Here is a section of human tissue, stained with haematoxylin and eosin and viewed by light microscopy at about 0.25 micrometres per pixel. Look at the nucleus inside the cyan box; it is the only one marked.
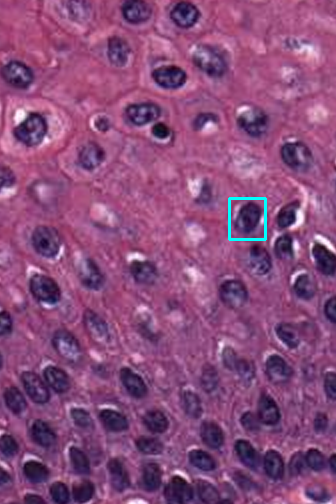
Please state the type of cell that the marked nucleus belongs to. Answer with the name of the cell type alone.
squamous epithelial cell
